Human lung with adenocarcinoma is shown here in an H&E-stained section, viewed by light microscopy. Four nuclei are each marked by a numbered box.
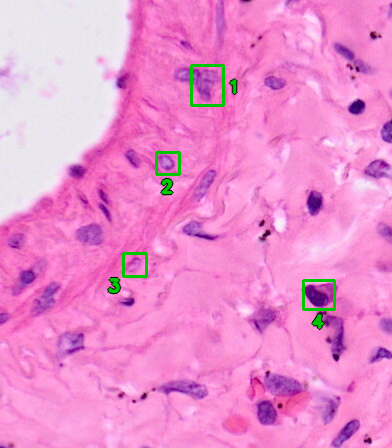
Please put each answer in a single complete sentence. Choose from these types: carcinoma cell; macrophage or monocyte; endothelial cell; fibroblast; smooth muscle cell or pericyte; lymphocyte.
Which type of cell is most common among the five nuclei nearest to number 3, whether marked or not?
Smooth muscle cells or pericytes account for more than half of the five nuclei nearest to number 3.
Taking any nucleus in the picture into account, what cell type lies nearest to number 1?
Number 1 lies closest to the nucleus of a smooth muscle cell or pericyte.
